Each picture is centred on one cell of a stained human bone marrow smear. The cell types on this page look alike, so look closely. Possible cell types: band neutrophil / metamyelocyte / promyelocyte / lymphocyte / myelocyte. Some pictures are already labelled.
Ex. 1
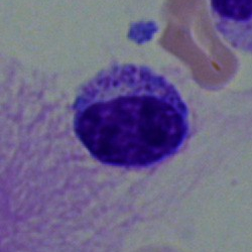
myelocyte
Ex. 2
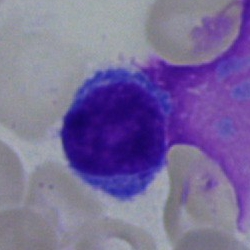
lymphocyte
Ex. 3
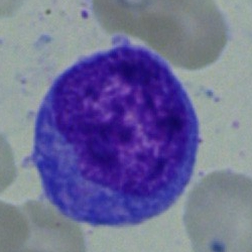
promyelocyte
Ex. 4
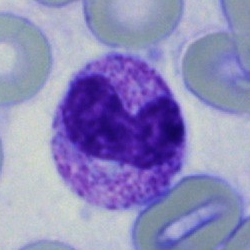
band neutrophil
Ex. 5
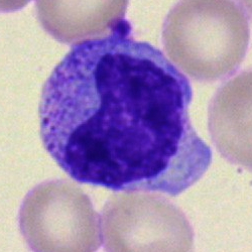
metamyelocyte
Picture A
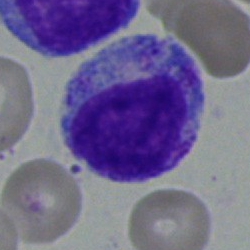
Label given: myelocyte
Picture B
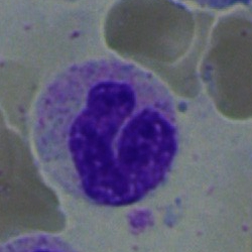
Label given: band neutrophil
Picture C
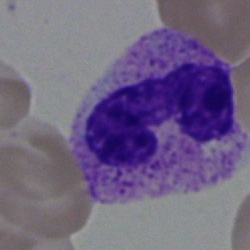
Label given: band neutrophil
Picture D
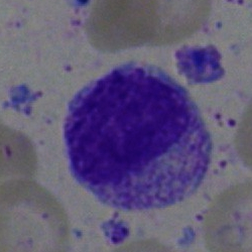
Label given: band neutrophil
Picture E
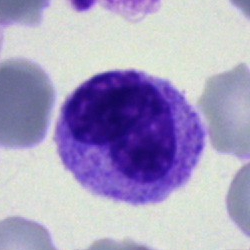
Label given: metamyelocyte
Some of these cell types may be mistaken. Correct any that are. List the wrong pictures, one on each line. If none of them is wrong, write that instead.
D is labelled band neutrophil; correct label: myelocyte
